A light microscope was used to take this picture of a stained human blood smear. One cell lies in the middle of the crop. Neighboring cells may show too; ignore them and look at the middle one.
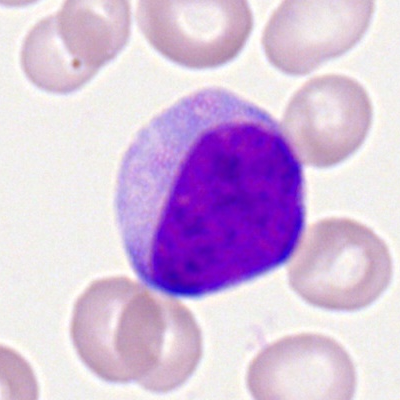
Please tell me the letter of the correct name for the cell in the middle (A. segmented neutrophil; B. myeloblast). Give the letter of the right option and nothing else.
B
